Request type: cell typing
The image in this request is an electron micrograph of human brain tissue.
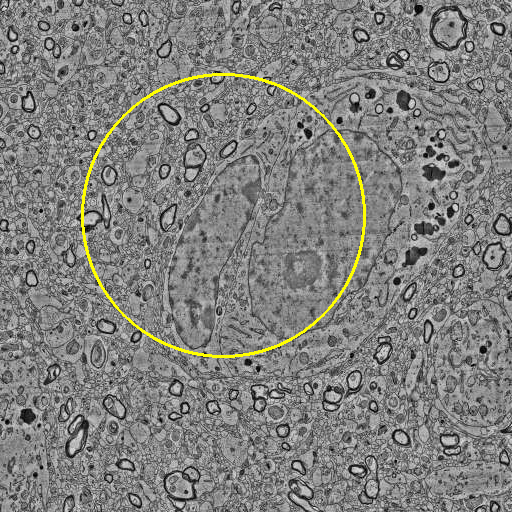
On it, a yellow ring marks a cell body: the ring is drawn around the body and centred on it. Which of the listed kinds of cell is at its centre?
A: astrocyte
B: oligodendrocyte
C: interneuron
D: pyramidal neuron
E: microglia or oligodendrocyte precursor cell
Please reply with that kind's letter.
E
